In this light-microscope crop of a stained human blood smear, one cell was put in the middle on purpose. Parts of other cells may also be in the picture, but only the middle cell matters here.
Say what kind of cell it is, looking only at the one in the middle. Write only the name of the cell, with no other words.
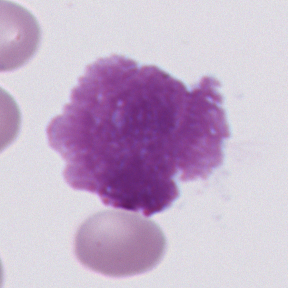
smudge cell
